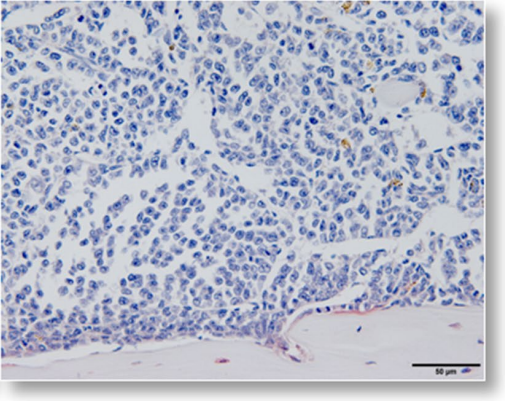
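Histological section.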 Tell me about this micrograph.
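Pale pink bone lies along the bottom, with flattened blue nuclei in lacunae, and a thin spur rises from it at the lower centre. The marrow space above is densely filled with closely packed round to oval cells. They have blue nuclei and little pale cytoplasm, and they are arranged in sheets and cords separated by pale spaces. Faint reddish-pink staining lines stretches of the bone surface. Scattered golden-brown granules lie among the cells.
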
